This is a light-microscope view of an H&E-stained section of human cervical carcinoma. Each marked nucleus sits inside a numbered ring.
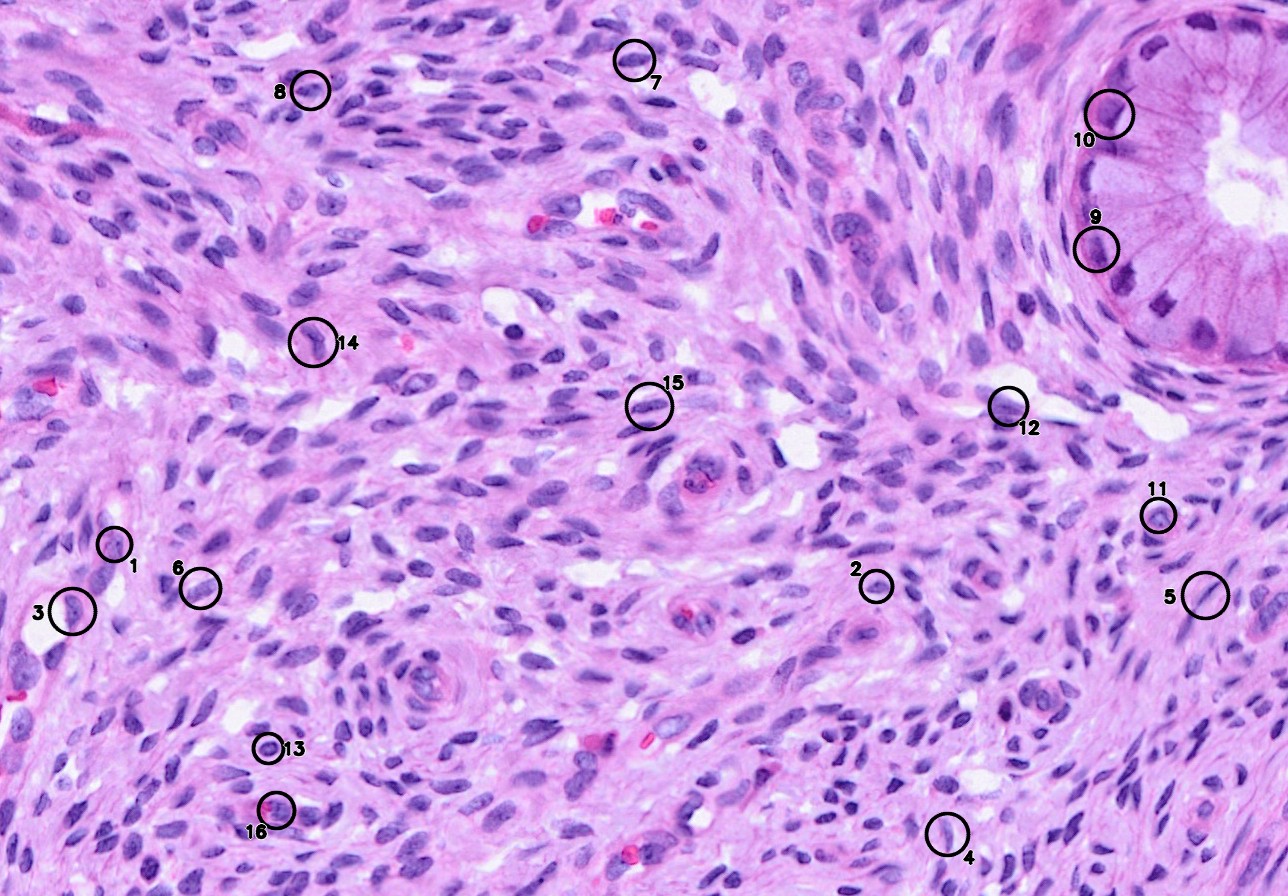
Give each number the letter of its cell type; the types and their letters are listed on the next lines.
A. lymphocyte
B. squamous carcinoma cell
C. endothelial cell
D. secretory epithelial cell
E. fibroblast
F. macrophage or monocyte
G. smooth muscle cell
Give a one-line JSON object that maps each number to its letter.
{"1": "C", "2": "E", "3": "C", "4": "E", "5": "E", "6": "E", "7": "E", "8": "E", "9": "D", "10": "D", "11": "C", "12": "C", "13": "E", "14": "E", "15": "E", "16": "C"}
